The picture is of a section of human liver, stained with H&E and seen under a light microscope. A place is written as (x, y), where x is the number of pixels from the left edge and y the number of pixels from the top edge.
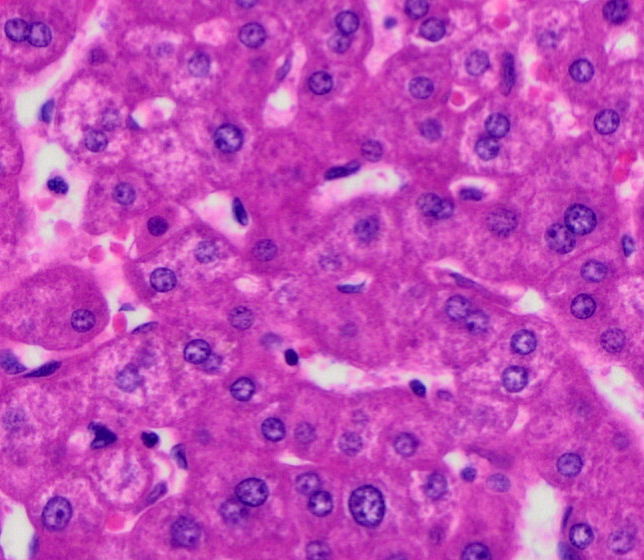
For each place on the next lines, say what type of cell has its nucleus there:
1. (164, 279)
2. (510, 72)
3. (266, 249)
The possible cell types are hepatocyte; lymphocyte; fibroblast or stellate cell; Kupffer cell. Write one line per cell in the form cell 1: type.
cell 1: hepatocyte
cell 2: Kupffer cell
cell 3: hepatocyte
